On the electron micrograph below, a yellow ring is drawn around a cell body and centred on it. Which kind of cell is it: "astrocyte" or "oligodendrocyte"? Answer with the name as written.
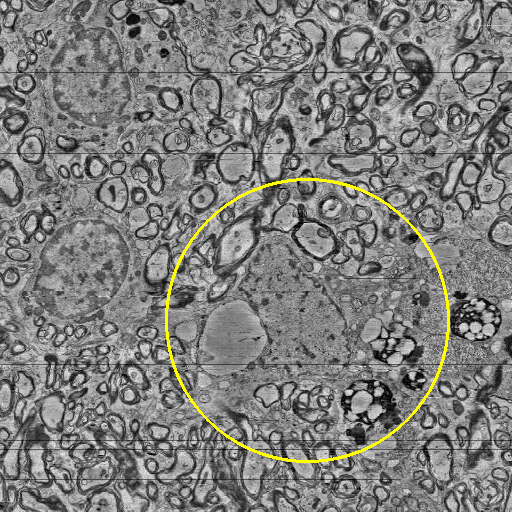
astrocyte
